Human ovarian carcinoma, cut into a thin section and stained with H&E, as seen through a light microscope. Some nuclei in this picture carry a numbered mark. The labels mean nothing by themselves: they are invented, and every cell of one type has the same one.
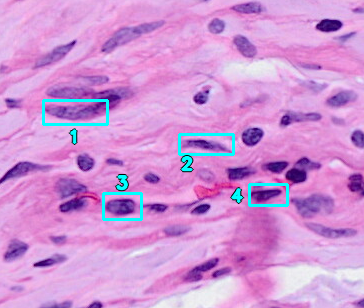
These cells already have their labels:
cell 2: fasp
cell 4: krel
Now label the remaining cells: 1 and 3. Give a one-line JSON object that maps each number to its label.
{"1": "fasp", "3": "krel"}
